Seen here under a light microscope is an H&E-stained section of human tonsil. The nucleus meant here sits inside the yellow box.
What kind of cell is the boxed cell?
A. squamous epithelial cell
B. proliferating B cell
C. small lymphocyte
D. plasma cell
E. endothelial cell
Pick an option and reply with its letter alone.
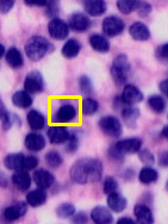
C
